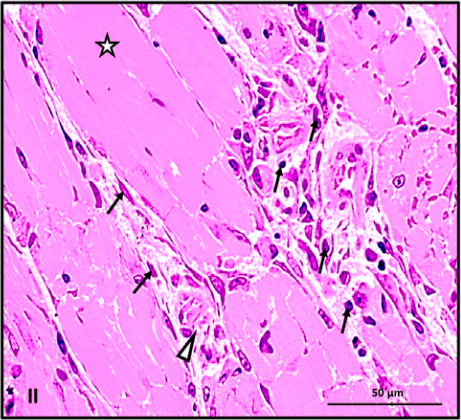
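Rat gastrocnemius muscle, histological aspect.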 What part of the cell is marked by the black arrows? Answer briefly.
nuclei of interstitial cells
